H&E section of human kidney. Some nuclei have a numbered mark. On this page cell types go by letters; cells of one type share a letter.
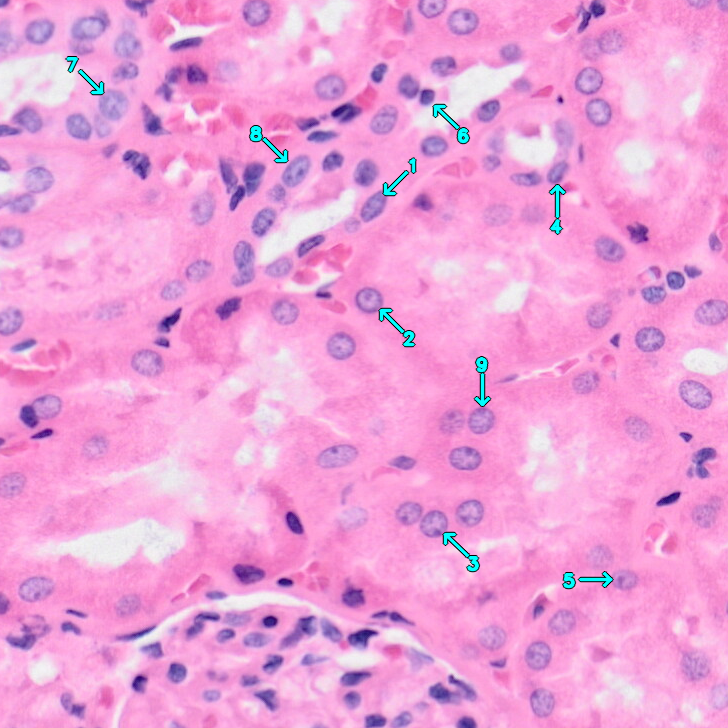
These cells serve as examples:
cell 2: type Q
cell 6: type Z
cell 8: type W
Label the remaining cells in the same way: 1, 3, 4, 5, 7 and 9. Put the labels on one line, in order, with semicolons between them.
type W; type Q; type W; type Q; type W; type Q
